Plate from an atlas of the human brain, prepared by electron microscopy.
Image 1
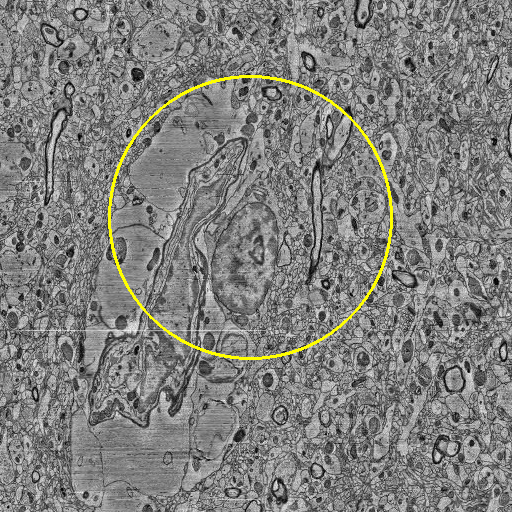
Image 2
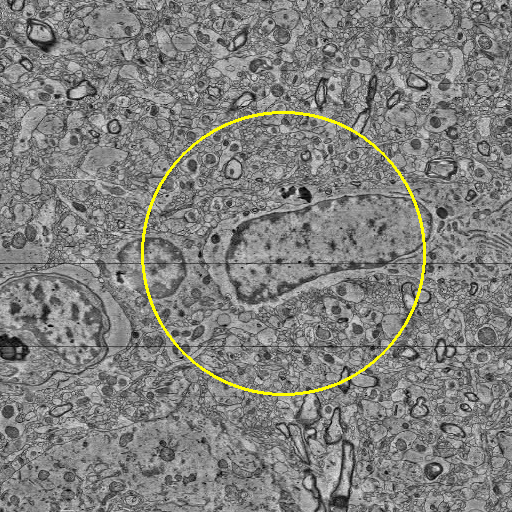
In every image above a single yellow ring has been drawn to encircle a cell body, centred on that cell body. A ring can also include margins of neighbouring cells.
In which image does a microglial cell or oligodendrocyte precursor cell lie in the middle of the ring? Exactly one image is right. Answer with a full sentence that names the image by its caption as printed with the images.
Image 2 holds the requested cell at the very centre of its ring.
